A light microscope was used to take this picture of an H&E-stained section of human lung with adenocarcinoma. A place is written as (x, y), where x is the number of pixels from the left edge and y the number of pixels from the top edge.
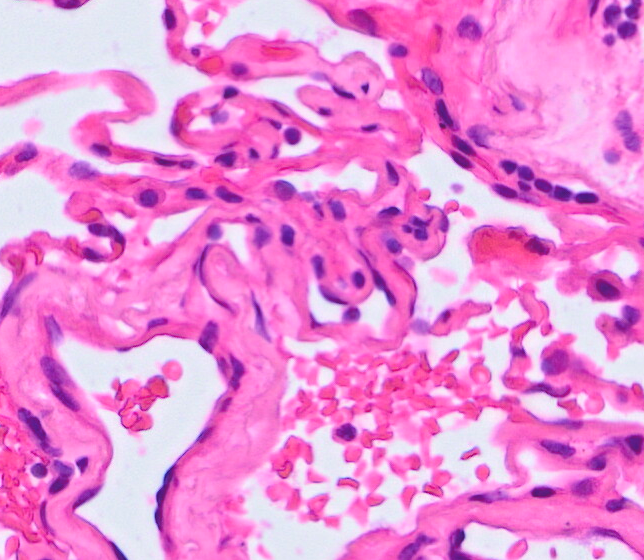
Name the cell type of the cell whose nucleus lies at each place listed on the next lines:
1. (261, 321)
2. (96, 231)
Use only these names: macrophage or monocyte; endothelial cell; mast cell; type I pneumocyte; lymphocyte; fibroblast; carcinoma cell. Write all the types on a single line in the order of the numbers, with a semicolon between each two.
fibroblast; type I pneumocyte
